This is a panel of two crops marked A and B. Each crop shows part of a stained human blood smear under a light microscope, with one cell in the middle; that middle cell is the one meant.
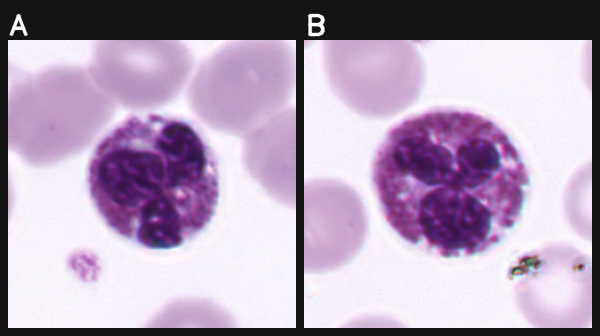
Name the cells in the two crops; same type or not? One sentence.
Yes, eosinophils are the cells shown in both crops.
